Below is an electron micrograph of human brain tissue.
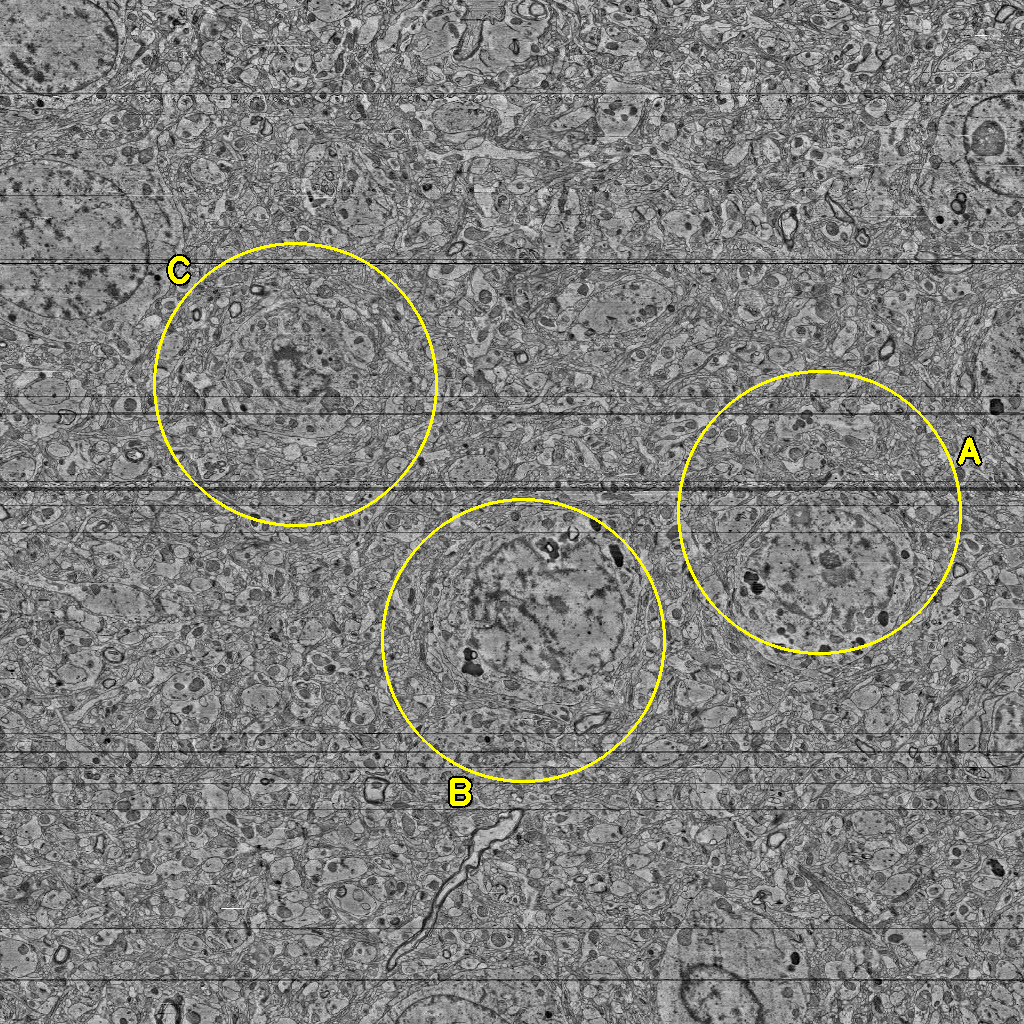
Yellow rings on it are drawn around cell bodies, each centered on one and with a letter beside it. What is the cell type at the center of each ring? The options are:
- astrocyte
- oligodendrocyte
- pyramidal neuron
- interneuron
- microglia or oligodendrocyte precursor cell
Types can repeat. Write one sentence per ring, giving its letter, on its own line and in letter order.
At the center of ring A is an interneuron.
At the center of ring B is an interneuron.
At the center of ring C is an interneuron.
